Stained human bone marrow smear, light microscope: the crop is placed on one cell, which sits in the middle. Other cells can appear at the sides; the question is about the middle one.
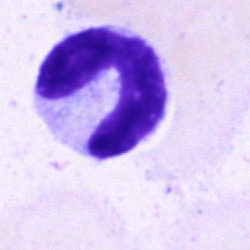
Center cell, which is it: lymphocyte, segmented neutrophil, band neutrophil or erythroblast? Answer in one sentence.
The cell at the centre of the field is a band neutrophil.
